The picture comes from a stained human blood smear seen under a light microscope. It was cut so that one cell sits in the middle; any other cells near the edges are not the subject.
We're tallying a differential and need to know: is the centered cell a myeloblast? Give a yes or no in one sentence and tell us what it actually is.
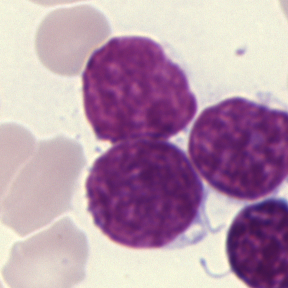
Yes, the cell shown in the middle is a myeloblast.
